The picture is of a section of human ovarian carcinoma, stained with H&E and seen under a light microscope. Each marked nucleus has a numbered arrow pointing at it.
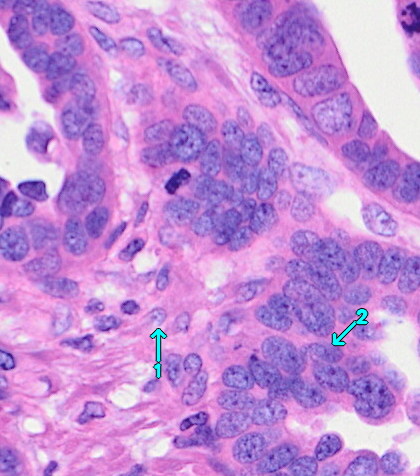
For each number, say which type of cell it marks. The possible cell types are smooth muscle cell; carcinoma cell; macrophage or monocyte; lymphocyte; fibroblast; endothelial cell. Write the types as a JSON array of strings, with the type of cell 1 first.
["fibroblast", "carcinoma cell"]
